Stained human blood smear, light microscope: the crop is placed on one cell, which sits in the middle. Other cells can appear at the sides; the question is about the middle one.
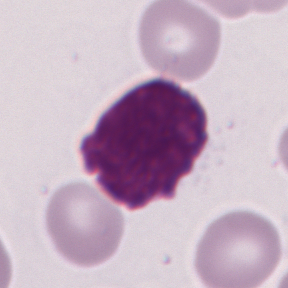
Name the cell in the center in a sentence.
The central cell shown in this smear crop is a smudge cell.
